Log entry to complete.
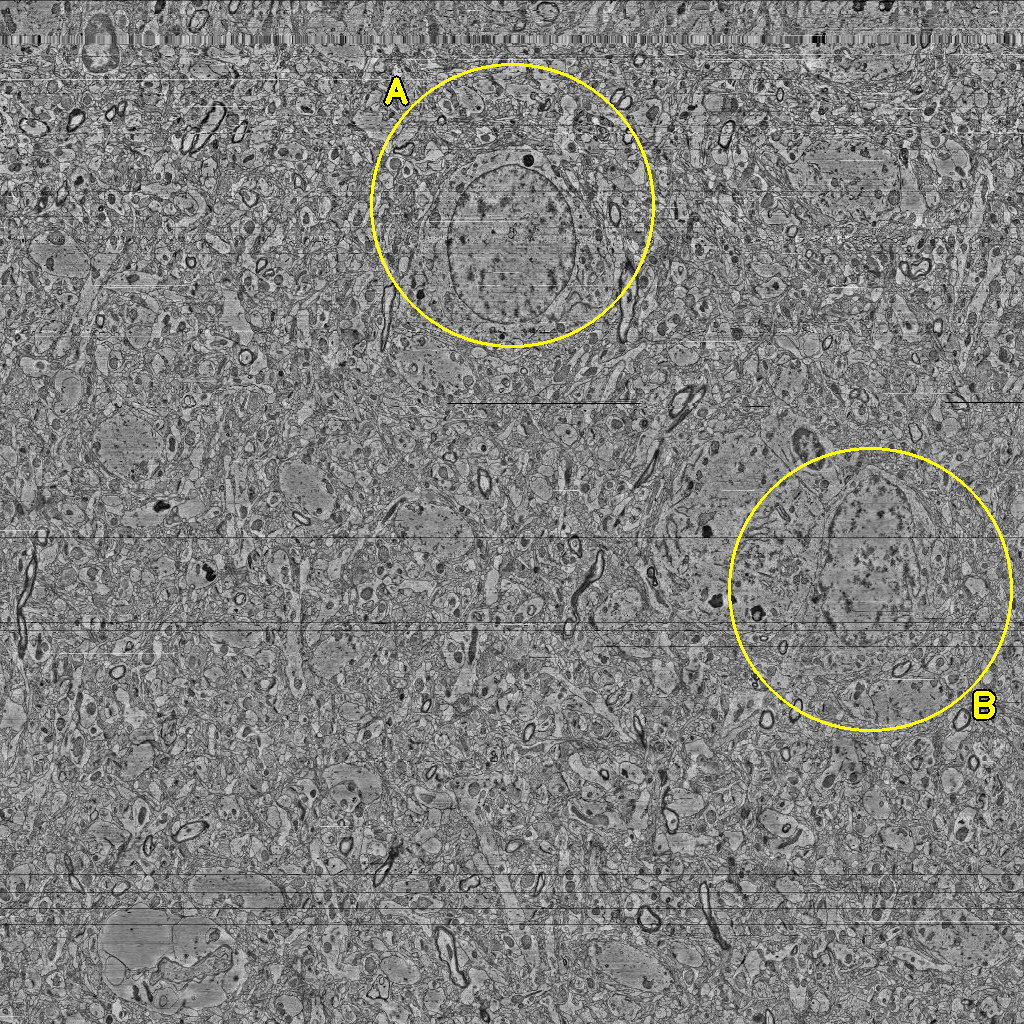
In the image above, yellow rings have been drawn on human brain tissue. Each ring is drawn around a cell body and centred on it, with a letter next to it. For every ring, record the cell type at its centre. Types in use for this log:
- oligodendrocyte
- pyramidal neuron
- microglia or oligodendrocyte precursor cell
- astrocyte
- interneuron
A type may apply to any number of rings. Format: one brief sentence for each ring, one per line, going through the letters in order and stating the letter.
In ring A, the centred cell is a pyramidal neuron.
In ring B, the centred cell is an interneuron.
